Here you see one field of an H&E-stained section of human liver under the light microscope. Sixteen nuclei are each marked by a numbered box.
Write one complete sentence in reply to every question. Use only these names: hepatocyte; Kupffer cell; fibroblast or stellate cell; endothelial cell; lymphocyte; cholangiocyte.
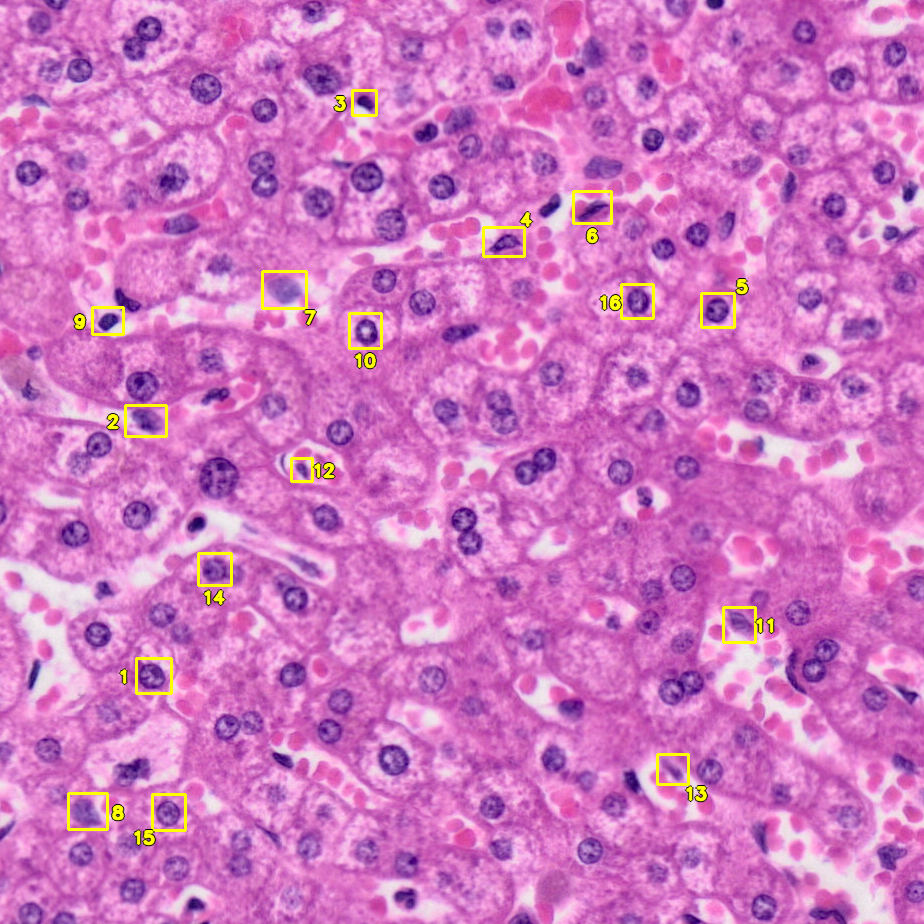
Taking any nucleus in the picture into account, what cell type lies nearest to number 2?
It is a hepatocyte whose nucleus is nearest to number 2.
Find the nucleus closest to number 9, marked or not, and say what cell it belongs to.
Number 9 lies closest to the nucleus of a fibroblast or stellate cell.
